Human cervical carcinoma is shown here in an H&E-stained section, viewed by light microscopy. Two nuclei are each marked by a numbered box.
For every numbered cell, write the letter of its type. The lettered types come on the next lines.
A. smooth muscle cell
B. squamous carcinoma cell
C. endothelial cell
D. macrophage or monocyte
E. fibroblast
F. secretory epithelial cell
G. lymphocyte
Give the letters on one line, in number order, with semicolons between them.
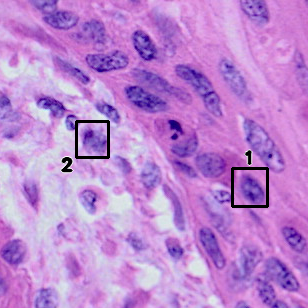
B; E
